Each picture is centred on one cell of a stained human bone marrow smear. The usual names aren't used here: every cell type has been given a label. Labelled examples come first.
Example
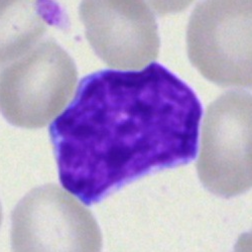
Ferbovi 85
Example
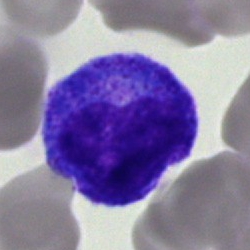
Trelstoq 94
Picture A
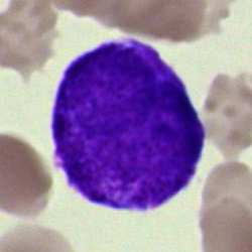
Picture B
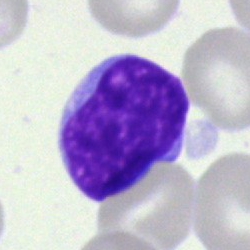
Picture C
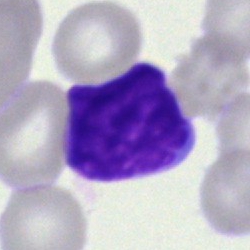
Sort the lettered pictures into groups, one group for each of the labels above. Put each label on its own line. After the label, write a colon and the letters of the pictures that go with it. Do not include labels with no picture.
Ferbovi 85: B, C
Trelstoq 94: A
